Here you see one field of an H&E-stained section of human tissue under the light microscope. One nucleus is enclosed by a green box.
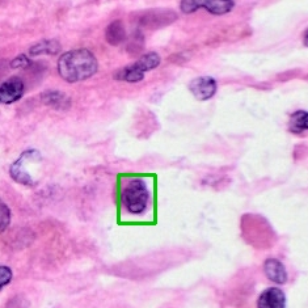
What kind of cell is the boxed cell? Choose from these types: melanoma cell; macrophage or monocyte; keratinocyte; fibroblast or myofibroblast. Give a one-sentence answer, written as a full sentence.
In the context of this tissue, the boxed cell is a macrophage or monocyte.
